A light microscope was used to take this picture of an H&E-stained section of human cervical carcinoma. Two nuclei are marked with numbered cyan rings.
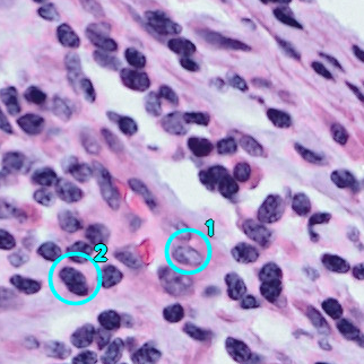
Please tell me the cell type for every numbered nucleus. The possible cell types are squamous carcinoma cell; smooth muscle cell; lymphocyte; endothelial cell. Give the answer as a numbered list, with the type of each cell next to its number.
1. endothelial cell
2. lymphocyte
